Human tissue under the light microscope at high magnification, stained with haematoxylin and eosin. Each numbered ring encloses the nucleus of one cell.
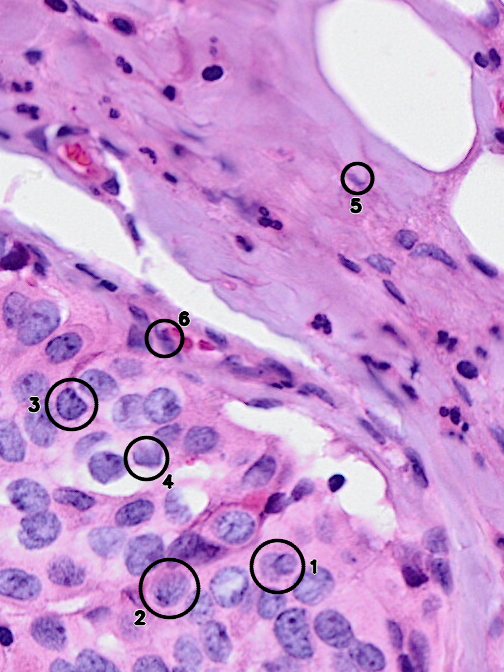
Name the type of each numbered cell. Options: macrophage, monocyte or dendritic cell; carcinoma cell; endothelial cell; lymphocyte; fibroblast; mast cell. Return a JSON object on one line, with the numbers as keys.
{"1": "carcinoma cell", "2": "carcinoma cell", "3": "carcinoma cell", "4": "carcinoma cell", "5": "fibroblast", "6": "endothelial cell"}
